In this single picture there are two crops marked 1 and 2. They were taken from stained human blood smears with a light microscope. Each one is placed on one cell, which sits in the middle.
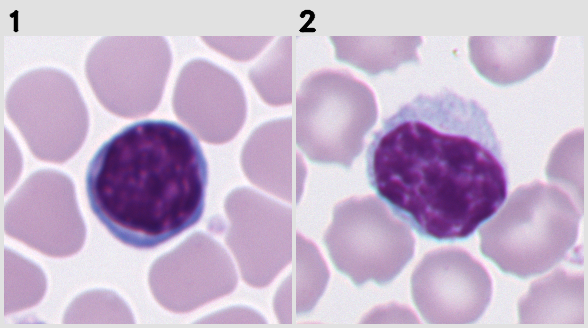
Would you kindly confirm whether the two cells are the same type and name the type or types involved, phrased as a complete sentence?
Yes, the two central cells, one per crop, are typical lymphocytes.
